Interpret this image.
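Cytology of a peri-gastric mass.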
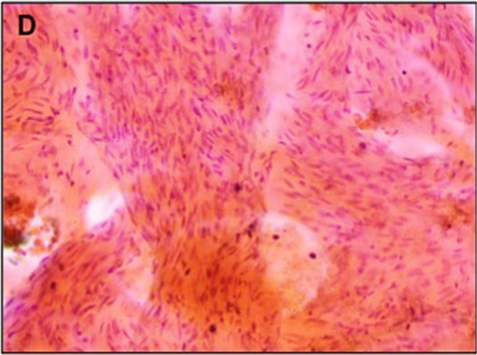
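This smear shows many bland spindle cells packed in streaming, sweeping bundles. Their nuclei are slender and oval, dark purple and fairly uniform, set in orange-pink background material, with no large or strikingly irregular nuclei.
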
